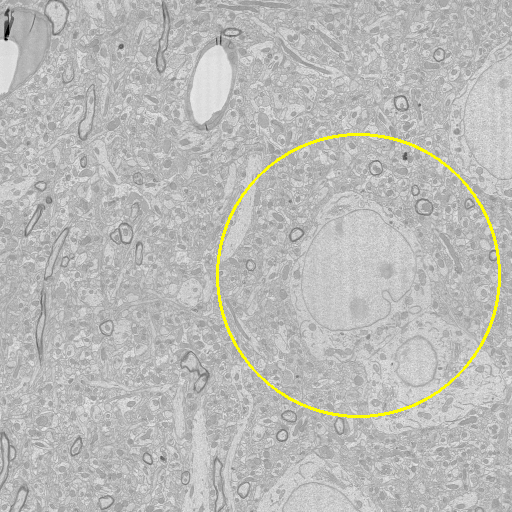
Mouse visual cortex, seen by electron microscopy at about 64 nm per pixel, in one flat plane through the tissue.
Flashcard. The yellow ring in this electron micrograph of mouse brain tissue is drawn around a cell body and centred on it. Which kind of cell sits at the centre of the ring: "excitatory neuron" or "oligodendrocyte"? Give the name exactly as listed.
excitatory neuron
